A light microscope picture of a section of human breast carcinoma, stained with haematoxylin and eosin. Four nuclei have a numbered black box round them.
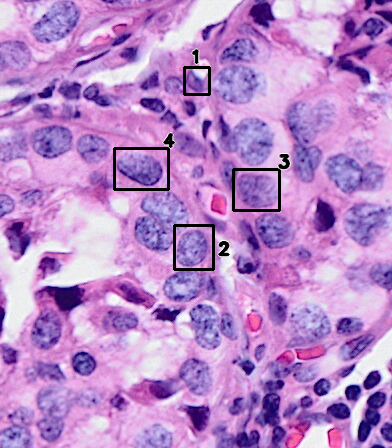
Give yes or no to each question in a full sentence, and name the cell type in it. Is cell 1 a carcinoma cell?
No, the cell referred to as 1 is an endothelial cell, not a carcinoma cell.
